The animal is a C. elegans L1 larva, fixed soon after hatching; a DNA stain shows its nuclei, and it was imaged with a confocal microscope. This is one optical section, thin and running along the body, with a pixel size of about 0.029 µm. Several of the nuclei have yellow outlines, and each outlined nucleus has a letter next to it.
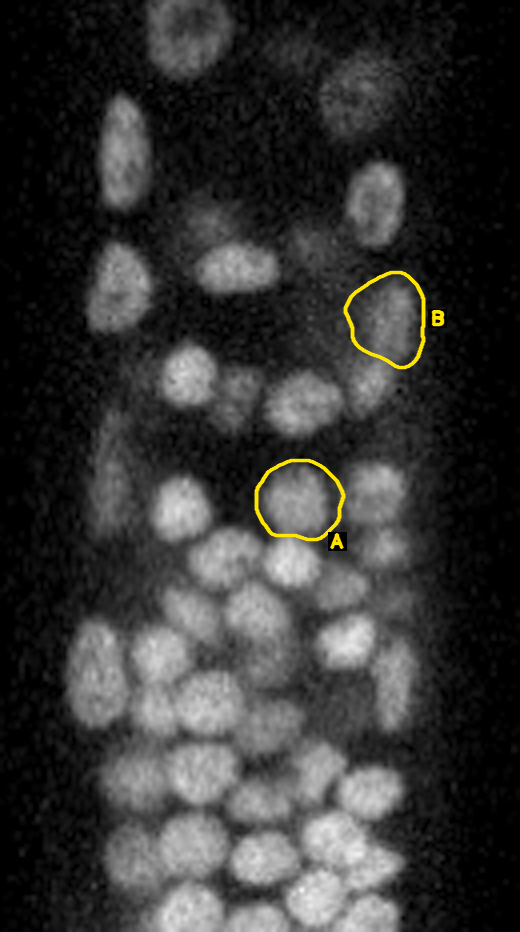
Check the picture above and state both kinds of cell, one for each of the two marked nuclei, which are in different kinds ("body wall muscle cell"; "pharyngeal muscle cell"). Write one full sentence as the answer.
One is from a pharyngeal muscle cell, namely A, and the other, B, is from a body wall muscle cell.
